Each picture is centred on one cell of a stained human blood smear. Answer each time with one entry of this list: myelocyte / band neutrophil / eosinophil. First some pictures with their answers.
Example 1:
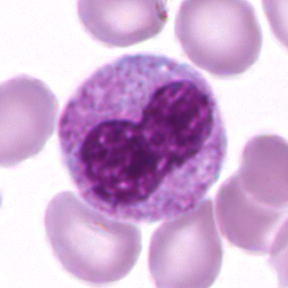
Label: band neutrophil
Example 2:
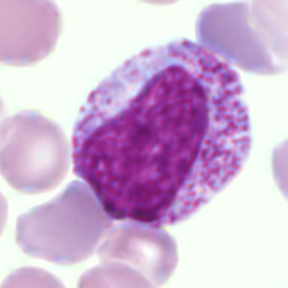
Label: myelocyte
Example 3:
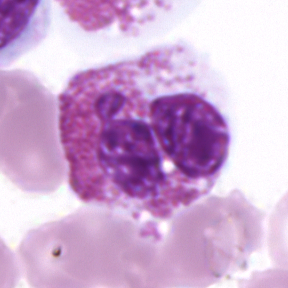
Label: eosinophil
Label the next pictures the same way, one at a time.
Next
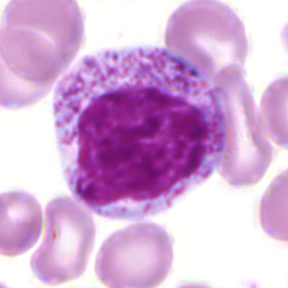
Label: myelocyte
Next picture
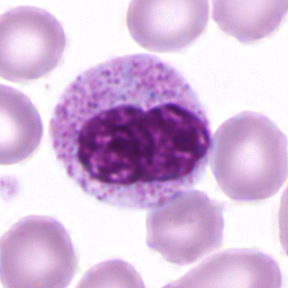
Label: band neutrophil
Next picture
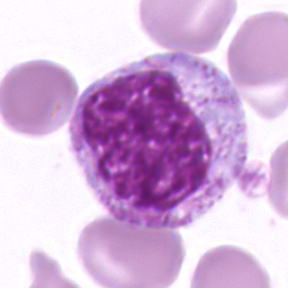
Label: myelocyte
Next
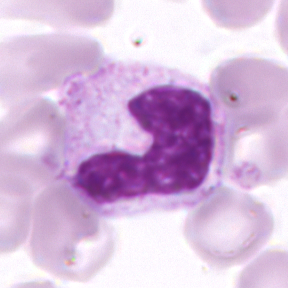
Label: band neutrophil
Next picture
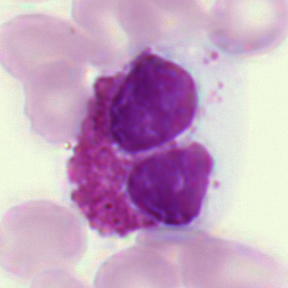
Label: eosinophil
